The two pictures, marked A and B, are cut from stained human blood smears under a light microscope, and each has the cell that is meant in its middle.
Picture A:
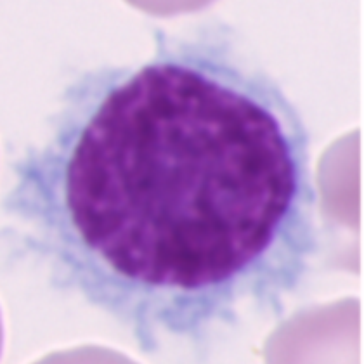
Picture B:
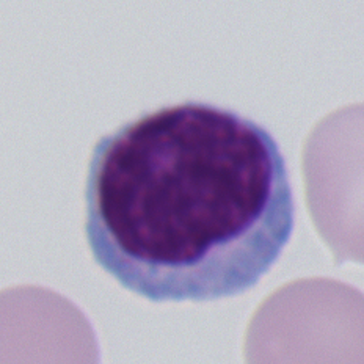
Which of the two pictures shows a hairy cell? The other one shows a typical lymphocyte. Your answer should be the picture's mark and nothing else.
A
